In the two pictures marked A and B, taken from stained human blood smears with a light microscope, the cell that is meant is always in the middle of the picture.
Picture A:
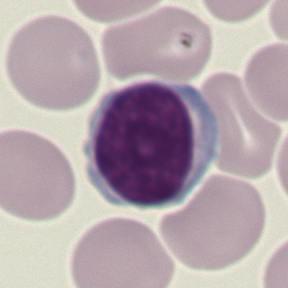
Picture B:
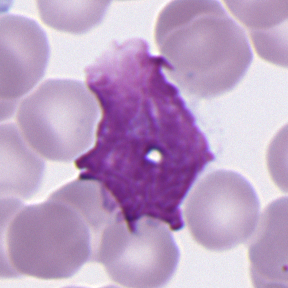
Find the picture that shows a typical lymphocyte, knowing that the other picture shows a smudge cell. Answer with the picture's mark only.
A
